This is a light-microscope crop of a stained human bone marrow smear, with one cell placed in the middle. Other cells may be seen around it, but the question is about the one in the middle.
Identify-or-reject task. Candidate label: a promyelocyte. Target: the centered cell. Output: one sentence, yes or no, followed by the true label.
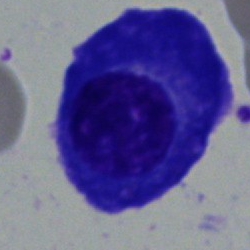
No, the centrally located cell is a plasma cell rather than a promyelocyte.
